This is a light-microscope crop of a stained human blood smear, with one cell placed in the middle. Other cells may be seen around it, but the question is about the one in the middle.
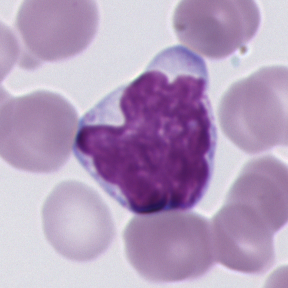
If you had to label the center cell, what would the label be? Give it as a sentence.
Present in the middle of the crop is a large granular lymphocyte.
